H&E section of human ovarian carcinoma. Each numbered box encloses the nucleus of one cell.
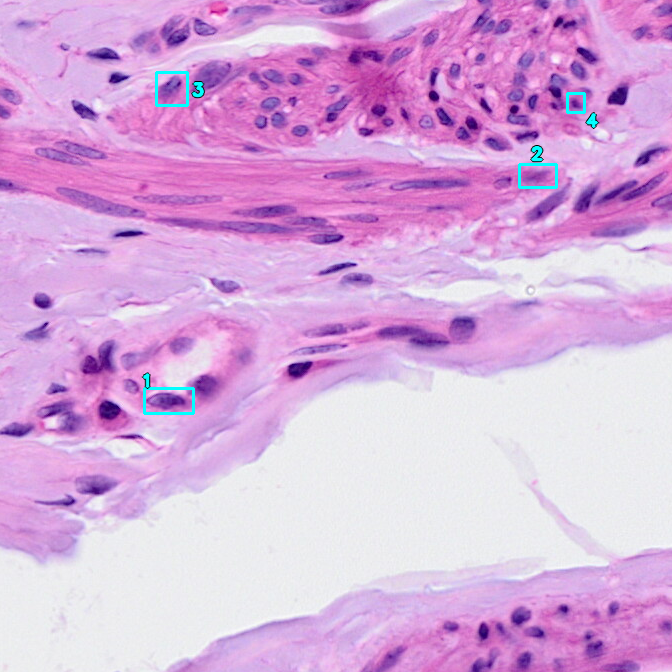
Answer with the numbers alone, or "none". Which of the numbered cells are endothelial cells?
1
